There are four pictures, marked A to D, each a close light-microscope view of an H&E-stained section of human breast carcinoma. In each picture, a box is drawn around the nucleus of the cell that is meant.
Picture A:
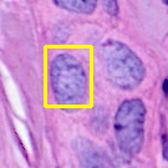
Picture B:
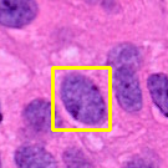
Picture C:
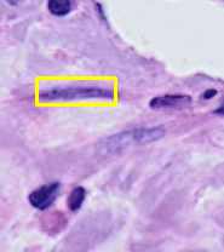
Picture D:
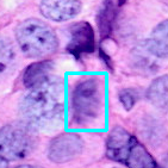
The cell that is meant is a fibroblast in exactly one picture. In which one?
C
